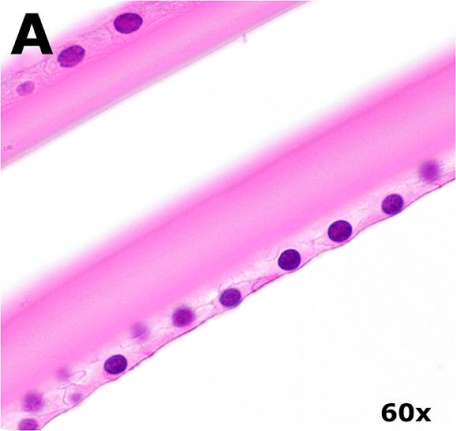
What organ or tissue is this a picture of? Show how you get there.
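The cells lie closely against the pink band along its length.
Answer: single layer epithelium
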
